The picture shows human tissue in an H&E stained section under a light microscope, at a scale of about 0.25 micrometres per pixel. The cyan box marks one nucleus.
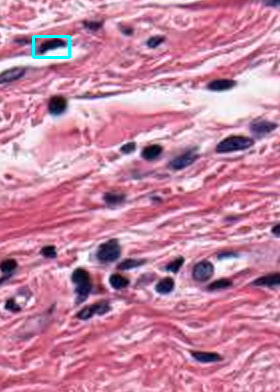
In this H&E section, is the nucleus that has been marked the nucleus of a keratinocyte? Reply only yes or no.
no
